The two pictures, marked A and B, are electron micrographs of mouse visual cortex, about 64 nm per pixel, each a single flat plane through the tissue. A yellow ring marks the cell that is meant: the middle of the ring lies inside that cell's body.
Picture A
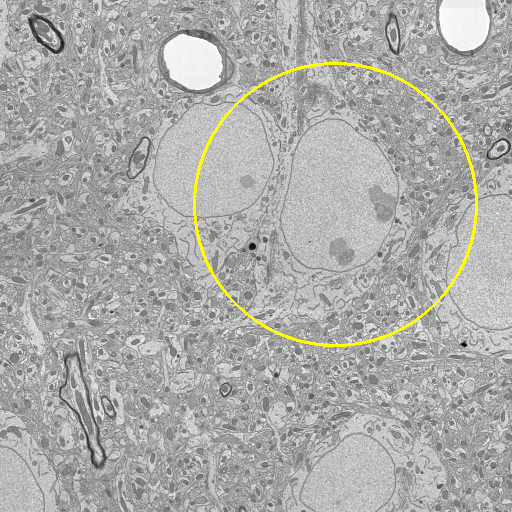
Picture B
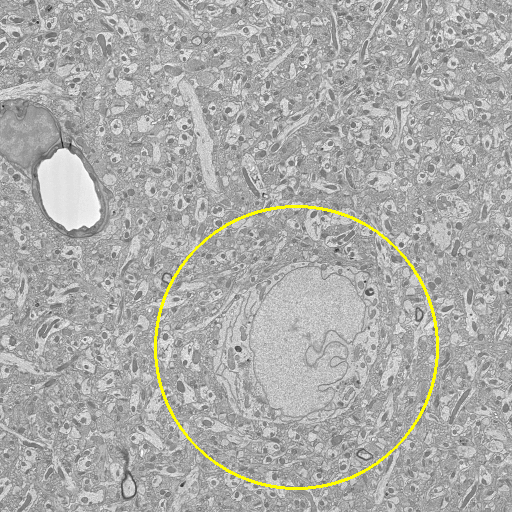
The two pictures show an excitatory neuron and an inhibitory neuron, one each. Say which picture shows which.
In picture A the cell is an excitatory neuron; in picture B, an inhibitory neuron.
